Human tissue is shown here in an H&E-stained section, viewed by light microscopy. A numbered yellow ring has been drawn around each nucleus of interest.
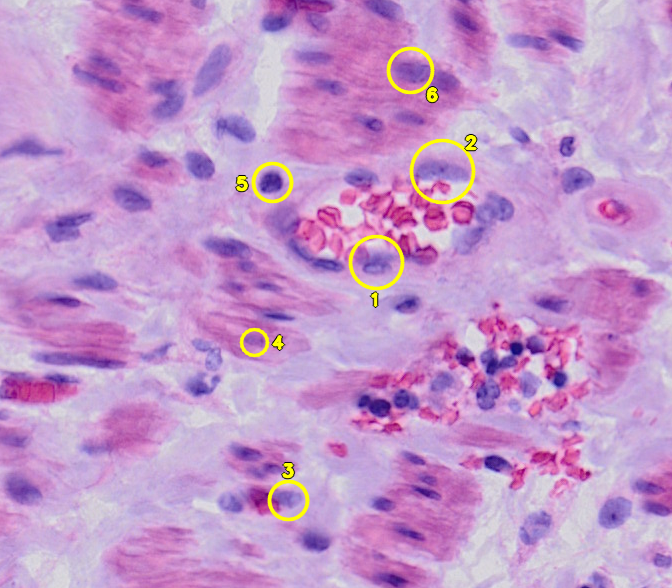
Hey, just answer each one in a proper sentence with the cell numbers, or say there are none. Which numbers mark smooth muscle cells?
The cells with labels 4 and 6 are smooth muscle cells.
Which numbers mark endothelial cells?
The cells which carry the numbers 1, 2 and 3 are endothelial cells.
